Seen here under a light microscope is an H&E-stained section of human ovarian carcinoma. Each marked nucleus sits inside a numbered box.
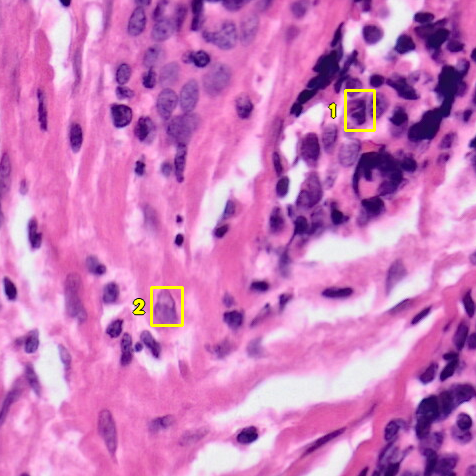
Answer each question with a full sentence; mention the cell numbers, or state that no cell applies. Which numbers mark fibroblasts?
None but cell 2 among the numbered cells is a fibroblast.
